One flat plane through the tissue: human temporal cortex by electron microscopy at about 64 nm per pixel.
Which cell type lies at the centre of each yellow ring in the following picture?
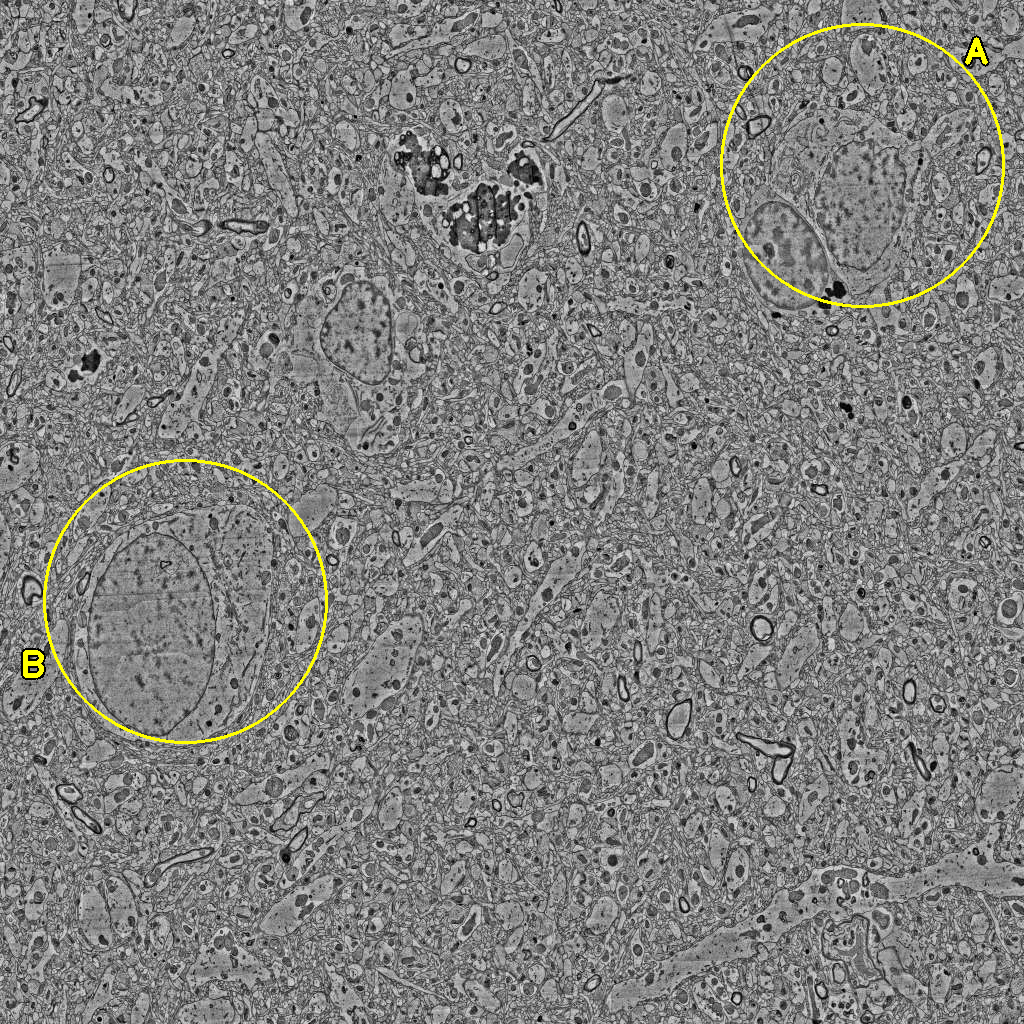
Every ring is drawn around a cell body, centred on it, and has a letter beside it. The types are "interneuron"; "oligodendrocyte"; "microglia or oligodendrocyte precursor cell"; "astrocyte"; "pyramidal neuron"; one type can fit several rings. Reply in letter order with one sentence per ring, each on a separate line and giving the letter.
Ring A marks the cell body of an interneuron.
Ring B marks the cell body of a pyramidal neuron.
